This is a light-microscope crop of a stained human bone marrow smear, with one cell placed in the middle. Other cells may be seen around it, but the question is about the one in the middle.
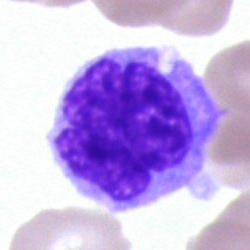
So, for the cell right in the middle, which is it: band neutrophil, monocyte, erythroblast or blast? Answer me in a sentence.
Framed in the middle of the crop is a monocyte.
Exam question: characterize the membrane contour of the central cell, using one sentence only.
This cell has an uneven outline, either ragged or bearing projections.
